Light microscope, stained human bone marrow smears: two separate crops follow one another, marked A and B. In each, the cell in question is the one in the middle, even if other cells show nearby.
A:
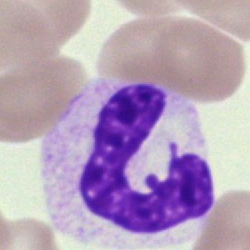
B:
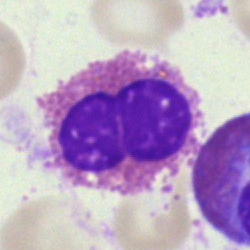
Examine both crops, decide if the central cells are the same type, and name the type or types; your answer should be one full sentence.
No, an eosinophil is the cell of crop B, while a band neutrophil is the cell of crop A.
